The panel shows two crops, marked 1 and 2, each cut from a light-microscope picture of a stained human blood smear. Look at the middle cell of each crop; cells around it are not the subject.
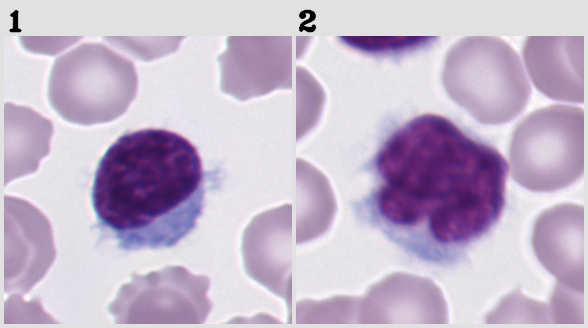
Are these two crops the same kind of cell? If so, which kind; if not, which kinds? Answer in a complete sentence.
Yes, both crops show hairy cells, and that holds for each one.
